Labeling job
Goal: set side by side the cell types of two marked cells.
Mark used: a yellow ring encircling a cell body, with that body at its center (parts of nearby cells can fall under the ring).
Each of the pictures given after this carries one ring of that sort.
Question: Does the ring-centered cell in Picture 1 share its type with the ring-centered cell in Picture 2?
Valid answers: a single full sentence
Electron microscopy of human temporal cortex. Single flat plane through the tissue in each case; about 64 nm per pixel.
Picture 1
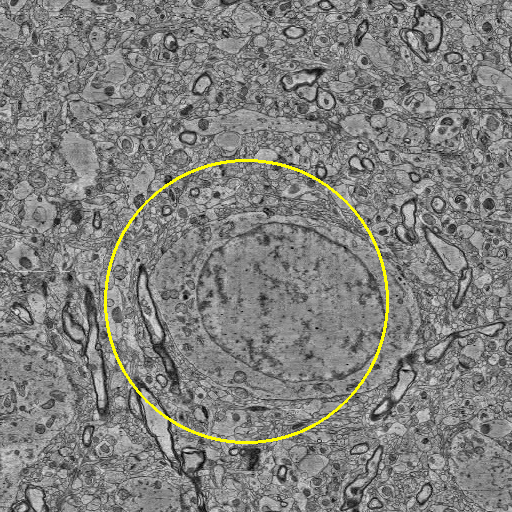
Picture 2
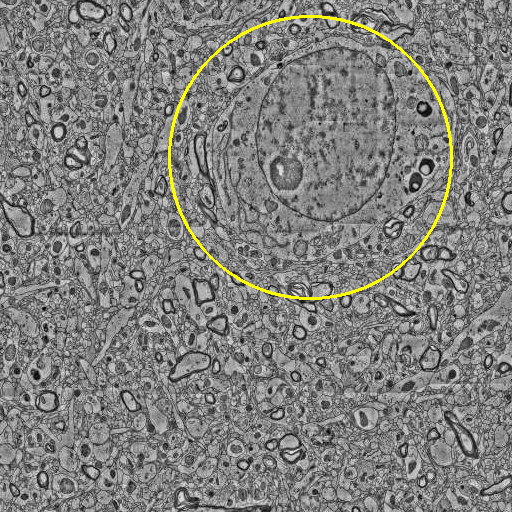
Yes, in Pictures 1 and 2 the cells at the ring centers share one type.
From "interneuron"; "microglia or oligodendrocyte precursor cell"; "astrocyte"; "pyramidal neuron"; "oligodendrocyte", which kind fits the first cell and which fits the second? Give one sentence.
Each cell, in the first picture and the second, is a pyramidal neuron.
